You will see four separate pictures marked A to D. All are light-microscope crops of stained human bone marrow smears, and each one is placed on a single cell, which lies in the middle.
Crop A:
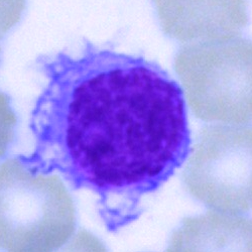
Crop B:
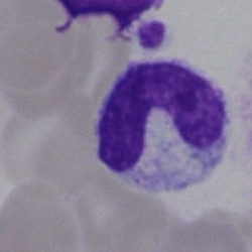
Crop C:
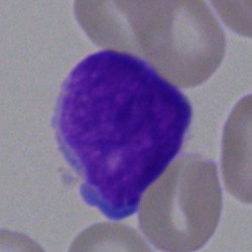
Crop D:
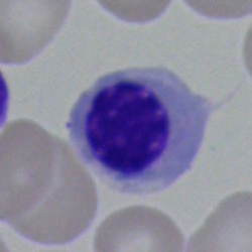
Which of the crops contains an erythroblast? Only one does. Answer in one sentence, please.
Crop D shows an erythroblast, and no other crop does.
